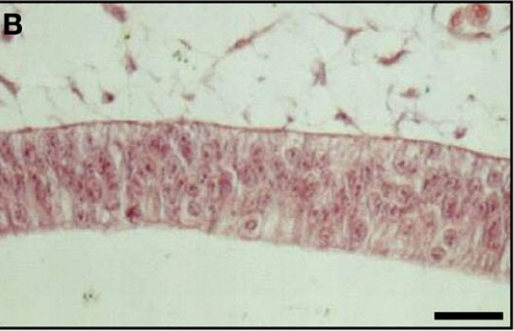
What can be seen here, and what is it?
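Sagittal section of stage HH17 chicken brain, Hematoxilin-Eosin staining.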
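A band of neuroepithelium crosses the field, built of tightly packed, elongated cells whose round to oval purple nuclei lie at several levels through the thickness of the layer, giving it a pseudostratified look. The cytoplasm between the nuclei is pale pink and the cell boundaries run roughly perpendicular to the surfaces. Above the band lies loose mesenchyme with sparse spindle-shaped and star-shaped cells in a pale, open matrix. Below the band is the empty ventricular cavity, and both surfaces of the epithelium are smooth and even. Nothing marks this stretch of the wall out as different in structure from ordinary neuroepithelium.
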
